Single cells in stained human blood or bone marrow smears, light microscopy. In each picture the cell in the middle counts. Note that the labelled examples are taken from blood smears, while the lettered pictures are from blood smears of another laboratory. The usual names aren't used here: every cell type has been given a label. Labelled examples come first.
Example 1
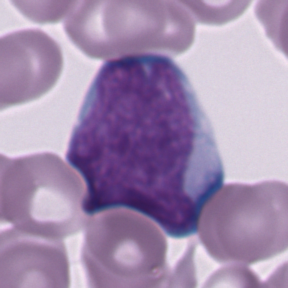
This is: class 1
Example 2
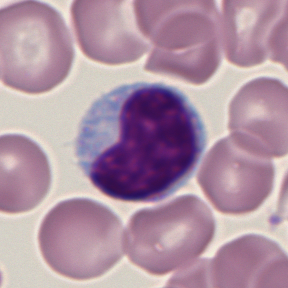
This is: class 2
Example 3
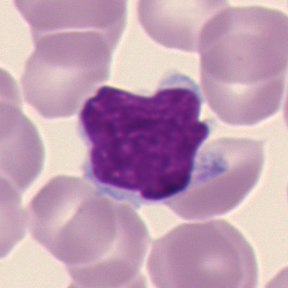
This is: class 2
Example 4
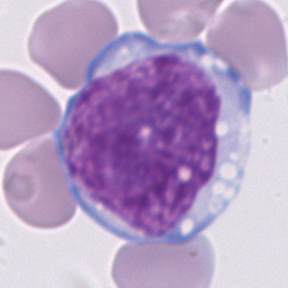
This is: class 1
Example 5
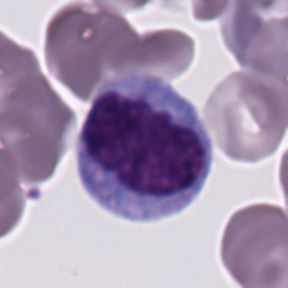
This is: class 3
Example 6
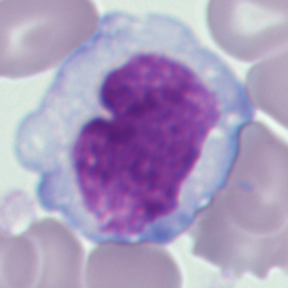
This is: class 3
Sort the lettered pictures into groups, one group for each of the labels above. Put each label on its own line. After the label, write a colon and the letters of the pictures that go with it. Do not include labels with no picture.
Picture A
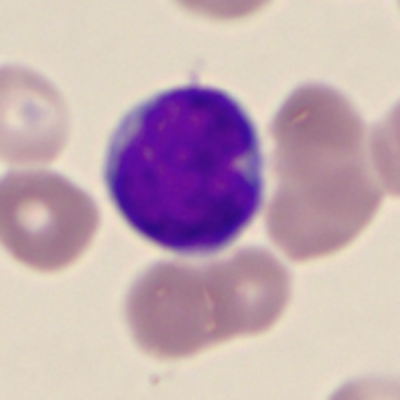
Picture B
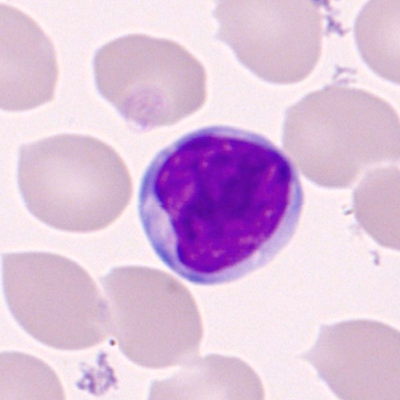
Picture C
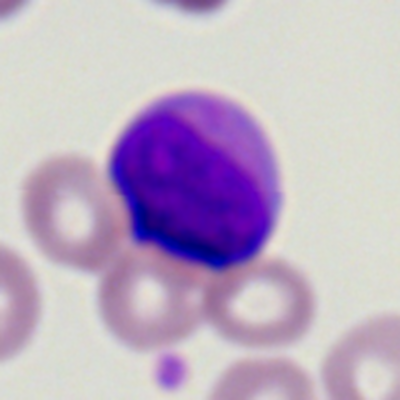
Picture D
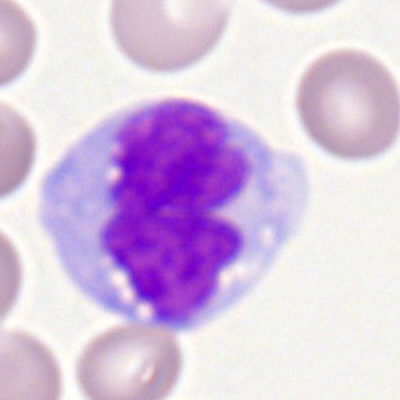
class 1: A, C
class 2: B
class 3: D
